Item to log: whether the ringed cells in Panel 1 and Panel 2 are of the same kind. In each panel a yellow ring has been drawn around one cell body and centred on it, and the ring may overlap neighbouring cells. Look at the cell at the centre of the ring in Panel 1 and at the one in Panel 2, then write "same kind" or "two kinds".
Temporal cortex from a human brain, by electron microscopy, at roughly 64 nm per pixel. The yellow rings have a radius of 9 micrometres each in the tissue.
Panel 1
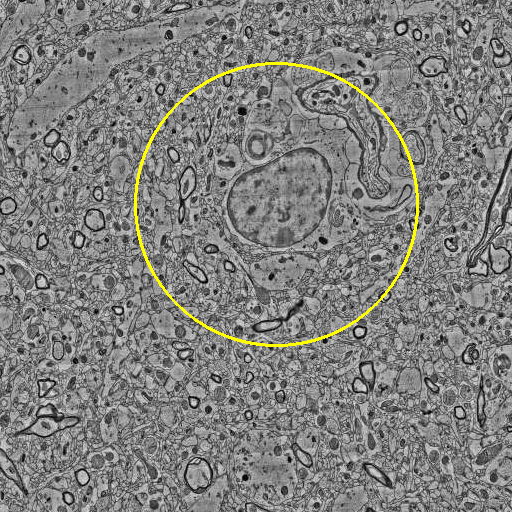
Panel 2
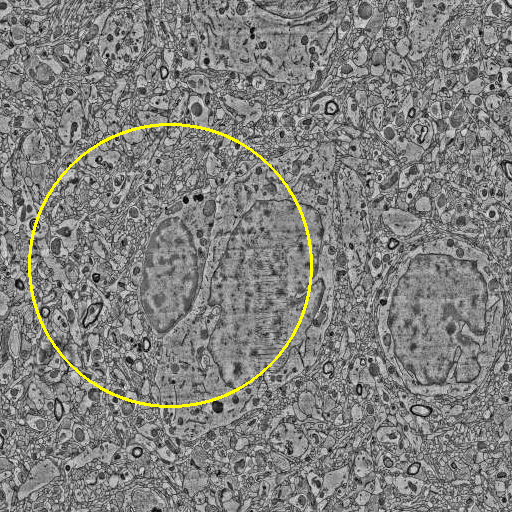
two kinds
